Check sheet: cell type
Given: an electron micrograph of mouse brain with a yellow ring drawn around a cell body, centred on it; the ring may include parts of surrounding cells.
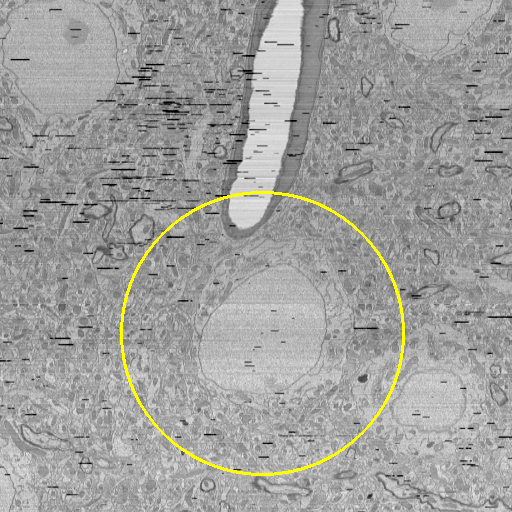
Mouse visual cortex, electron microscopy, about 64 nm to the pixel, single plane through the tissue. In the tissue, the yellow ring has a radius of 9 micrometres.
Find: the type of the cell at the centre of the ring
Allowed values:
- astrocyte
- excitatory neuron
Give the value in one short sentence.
Here the ringed cell is an excitatory neuron.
